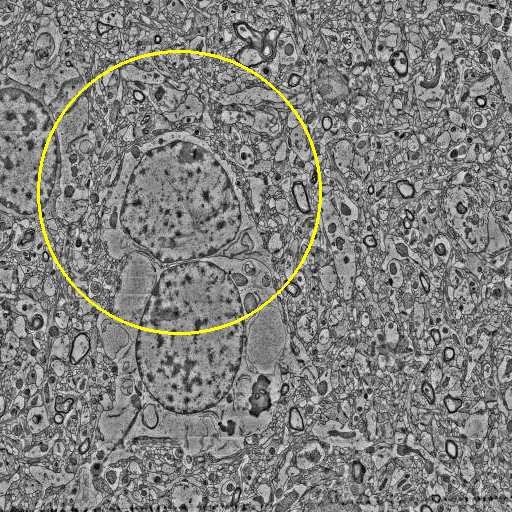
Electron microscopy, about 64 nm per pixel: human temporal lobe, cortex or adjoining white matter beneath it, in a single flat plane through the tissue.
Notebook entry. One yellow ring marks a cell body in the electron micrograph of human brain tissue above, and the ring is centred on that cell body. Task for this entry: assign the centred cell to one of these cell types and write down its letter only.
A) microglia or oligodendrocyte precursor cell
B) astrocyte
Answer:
B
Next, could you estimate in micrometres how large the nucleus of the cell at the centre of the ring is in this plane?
Roughly 8 micrometres across, measured in this plane.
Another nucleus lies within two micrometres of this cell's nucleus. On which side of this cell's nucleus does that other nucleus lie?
The other one is below it.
